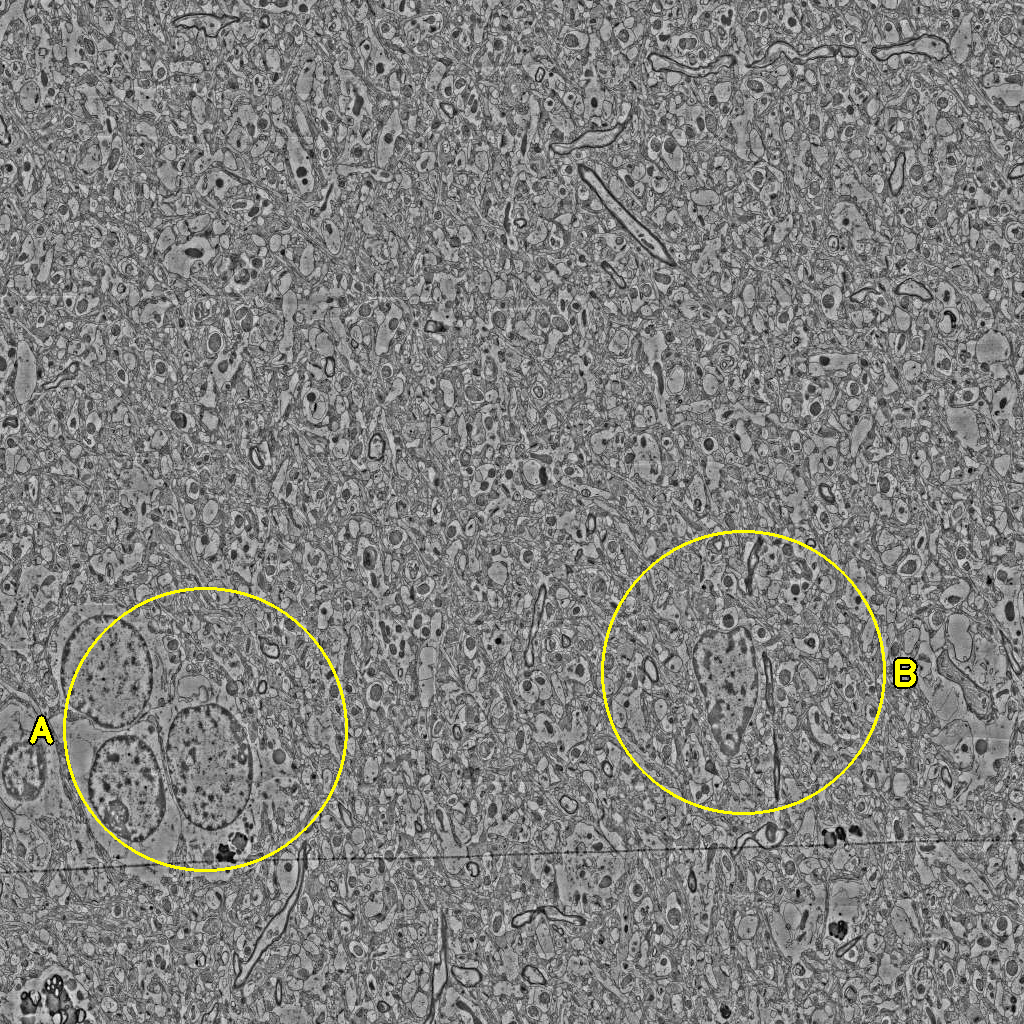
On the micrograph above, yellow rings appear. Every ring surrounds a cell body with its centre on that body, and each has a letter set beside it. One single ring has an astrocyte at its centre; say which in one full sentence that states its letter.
The answer is ring A, whose centre lies on the cell asked for.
